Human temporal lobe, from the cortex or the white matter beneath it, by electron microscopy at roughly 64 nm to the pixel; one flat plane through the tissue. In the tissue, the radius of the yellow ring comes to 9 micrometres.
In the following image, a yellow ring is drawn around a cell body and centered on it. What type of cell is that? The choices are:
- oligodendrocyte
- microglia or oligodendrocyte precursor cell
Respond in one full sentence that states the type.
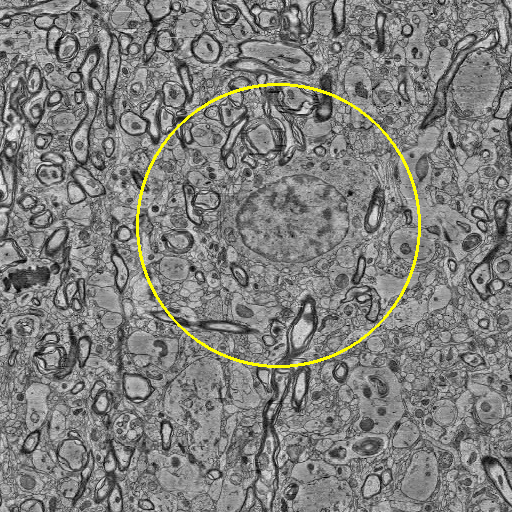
The cell at the center of the yellow ring in the image is an oligodendrocyte.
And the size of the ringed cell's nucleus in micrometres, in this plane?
About 7 by 6 micrometers for the nucleus, in this plane.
